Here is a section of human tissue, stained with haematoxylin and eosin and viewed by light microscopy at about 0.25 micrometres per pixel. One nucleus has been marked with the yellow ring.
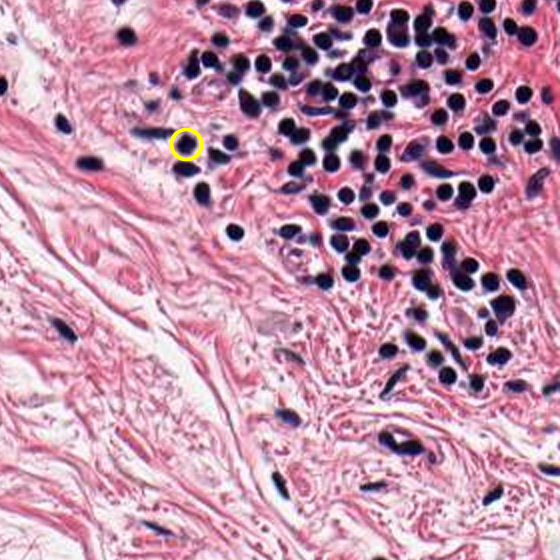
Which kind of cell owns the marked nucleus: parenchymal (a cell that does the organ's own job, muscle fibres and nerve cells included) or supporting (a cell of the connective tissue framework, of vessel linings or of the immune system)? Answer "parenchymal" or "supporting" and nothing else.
supporting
